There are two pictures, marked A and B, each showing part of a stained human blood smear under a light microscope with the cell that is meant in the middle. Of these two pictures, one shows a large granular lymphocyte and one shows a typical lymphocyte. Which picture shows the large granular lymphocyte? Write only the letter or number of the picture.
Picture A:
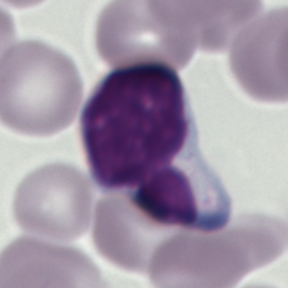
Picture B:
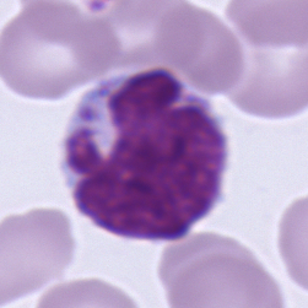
A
